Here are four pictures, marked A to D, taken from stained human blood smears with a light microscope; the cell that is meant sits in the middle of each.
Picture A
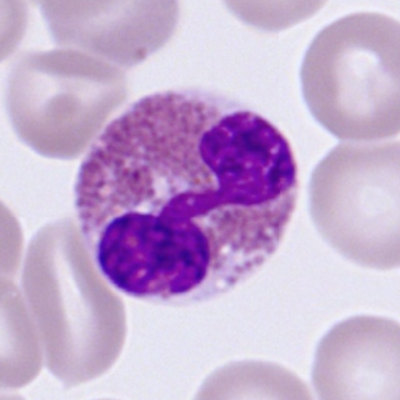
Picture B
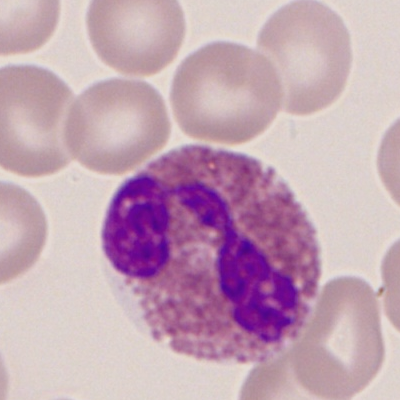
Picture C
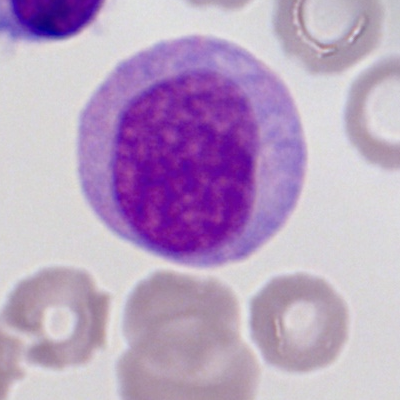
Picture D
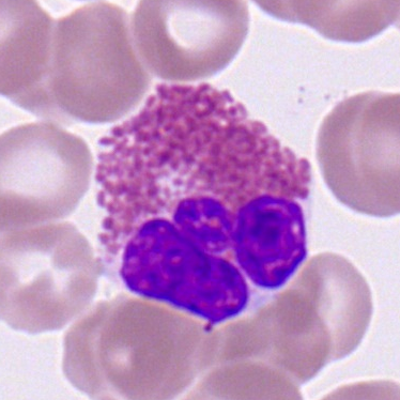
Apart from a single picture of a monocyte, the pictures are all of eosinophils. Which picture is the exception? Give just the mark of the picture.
C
